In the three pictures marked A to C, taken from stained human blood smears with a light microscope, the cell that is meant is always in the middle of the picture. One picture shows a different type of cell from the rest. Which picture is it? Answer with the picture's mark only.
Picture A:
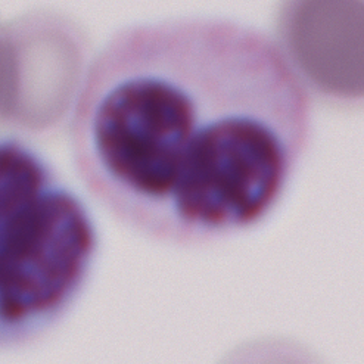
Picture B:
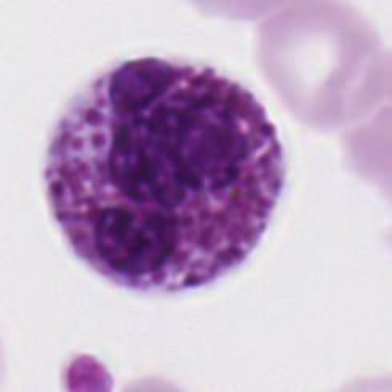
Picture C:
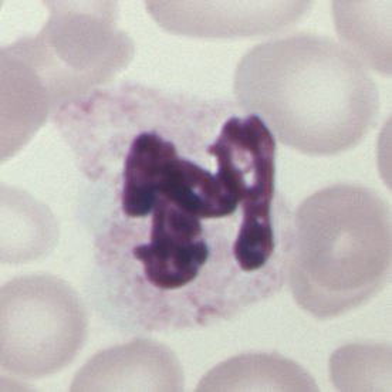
B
